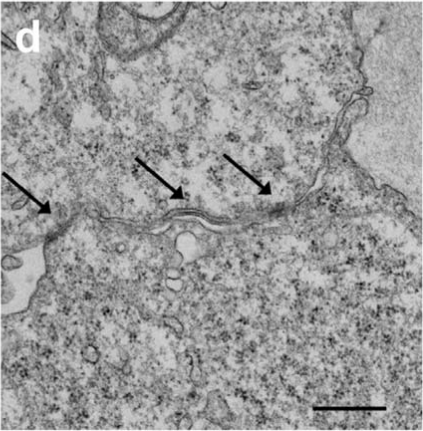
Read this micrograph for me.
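The plasma membranes of the neighbouring cells run closely side by side across the field in a wavy line, with focal dark membrane thickenings, cell junctions, spaced along it. Cytoplasm on both sides is finely granular with many ribosome-like particles and scattered small vesicles; a membrane-bound organelle lies near the upper left. The lower cell appears more densely granular than the upper one. A small clear vesicle sits at the boundary near the middle.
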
